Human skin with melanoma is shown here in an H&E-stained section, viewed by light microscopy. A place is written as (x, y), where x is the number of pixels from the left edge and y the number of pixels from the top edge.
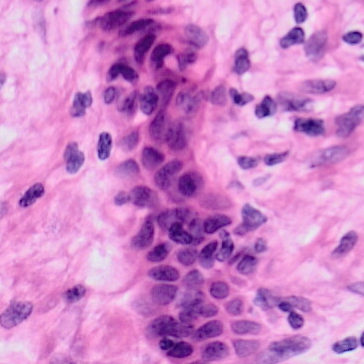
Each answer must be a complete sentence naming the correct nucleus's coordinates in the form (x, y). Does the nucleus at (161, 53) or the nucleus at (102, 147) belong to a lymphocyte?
Of the pair, the nucleus located at (102, 147) belongs to a lymphocyte.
